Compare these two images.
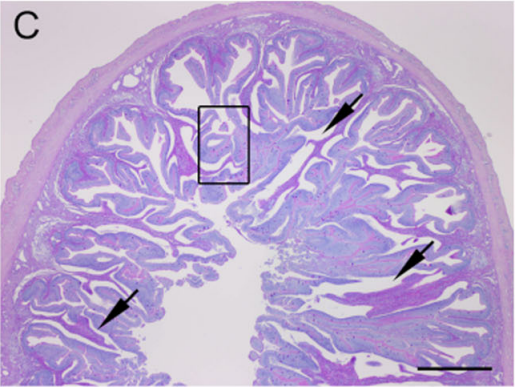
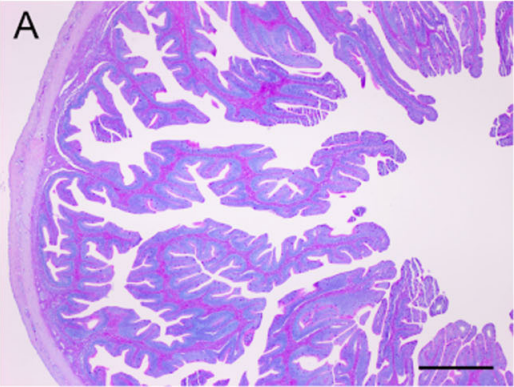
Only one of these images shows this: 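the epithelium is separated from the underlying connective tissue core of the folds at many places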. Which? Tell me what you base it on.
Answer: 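The first image. First image: several clefts split the epithelium from the pink cores of the folds. Second image: the epithelium lies close against the fold cores throughout.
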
